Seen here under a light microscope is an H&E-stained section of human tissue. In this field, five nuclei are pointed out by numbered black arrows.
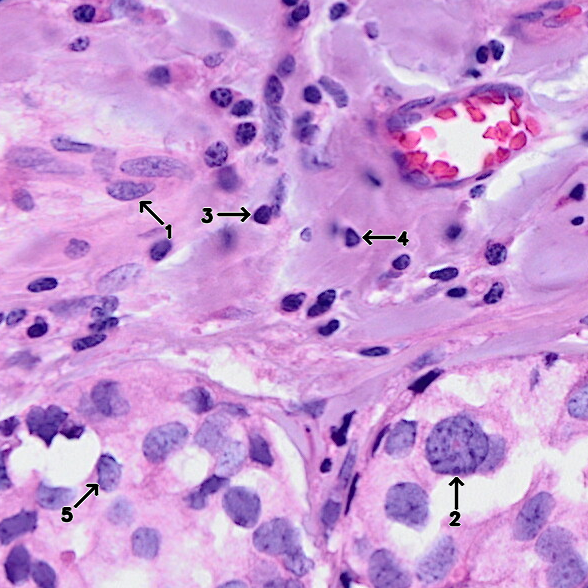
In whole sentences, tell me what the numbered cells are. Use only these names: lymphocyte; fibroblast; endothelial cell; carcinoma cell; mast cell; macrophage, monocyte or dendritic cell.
Cell 1 is an endothelial cell, cell 2 is a carcinoma cell, cell 3 is a lymphocyte, cell 4 is a lymphocyte and cell 5 is a carcinoma cell.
